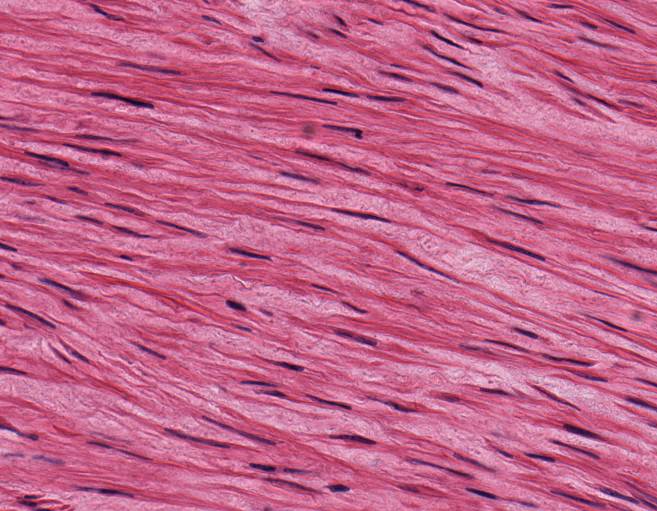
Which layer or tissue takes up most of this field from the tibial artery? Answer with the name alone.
tunica media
